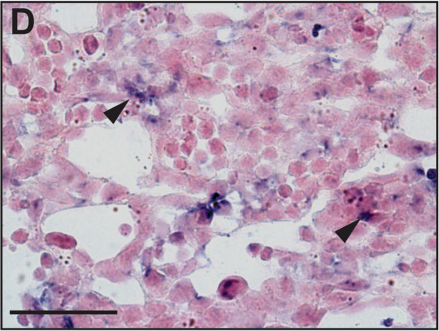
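Some cells are large with prominent rounded nuclei. Small round blood cells sit within the spaces. Blue-purple stain is sparse, confined to a handful of small scattered cells or cell processes lying between the larger pink cells, while most of the tissue carries only the pink counterstain.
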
